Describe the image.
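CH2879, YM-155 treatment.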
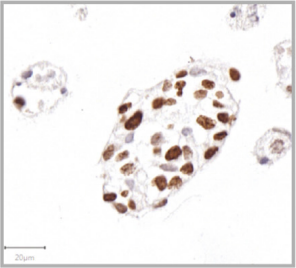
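A large oval spheroid with many cells lies among a few small spheroids on a pale background. Most nuclei in the large spheroid are stained brown and a few stay pale blue-grey, while the small spheroids have fewer brown nuclei.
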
